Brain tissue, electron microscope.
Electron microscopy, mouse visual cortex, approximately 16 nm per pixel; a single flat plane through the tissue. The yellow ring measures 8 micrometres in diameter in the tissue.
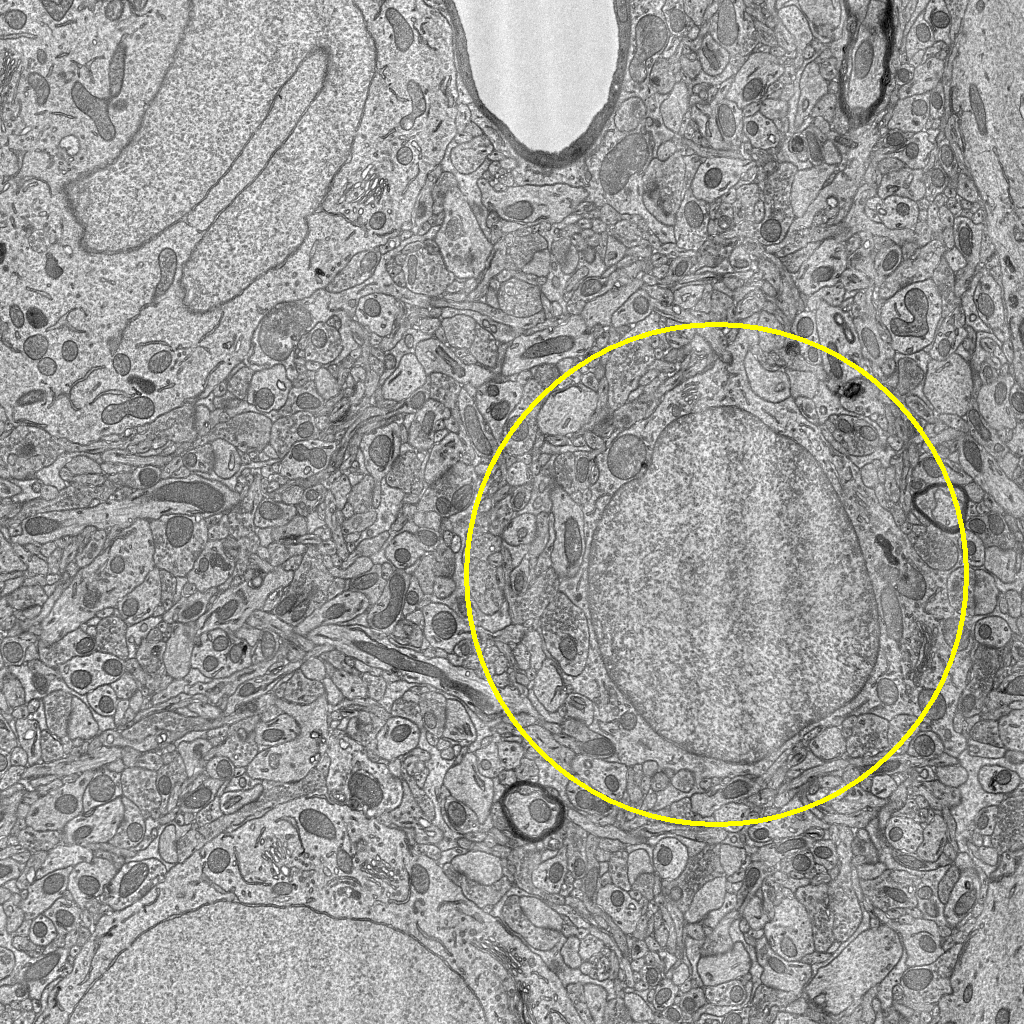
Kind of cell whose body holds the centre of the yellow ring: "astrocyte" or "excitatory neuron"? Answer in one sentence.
The ring's centre falls on an astrocyte.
